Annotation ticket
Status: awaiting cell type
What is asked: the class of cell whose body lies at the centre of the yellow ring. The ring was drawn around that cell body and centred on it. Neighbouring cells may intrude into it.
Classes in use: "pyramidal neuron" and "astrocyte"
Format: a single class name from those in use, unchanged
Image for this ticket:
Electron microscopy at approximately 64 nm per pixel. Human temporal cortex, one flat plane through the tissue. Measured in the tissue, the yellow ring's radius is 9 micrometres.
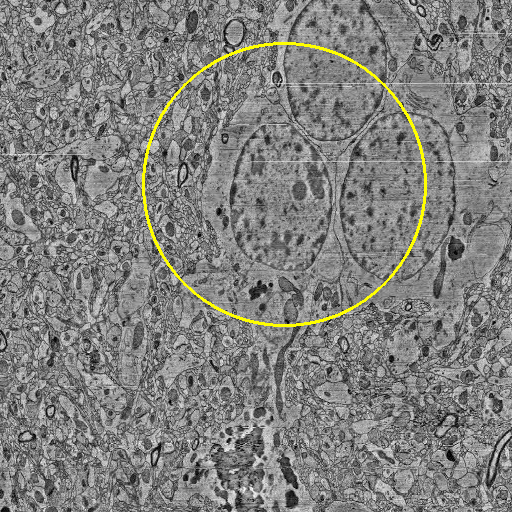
astrocyte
